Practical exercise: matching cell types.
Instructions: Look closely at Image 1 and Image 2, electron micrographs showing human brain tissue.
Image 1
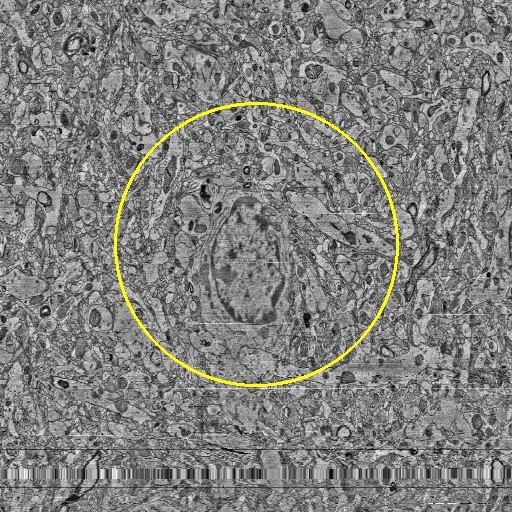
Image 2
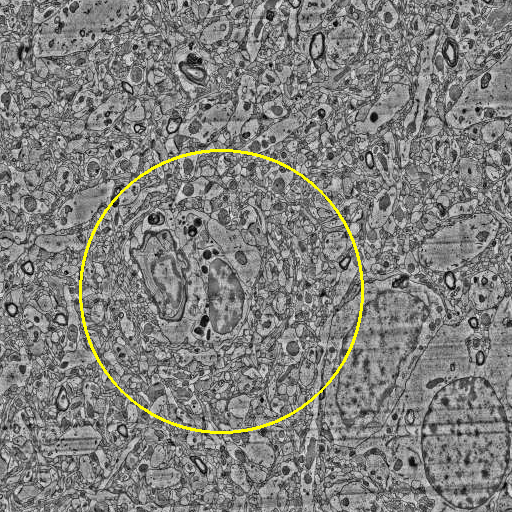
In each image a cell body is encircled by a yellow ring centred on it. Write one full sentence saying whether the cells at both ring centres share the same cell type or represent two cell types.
Across Image 1 and Image 2, the cells at the ring centres share the same cell type.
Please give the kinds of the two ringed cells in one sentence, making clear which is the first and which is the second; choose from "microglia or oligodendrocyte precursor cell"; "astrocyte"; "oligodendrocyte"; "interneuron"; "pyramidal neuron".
Each of the ringed cells, first and second, is a microglial cell or oligodendrocyte precursor cell.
